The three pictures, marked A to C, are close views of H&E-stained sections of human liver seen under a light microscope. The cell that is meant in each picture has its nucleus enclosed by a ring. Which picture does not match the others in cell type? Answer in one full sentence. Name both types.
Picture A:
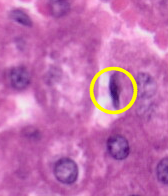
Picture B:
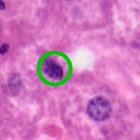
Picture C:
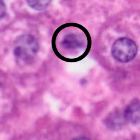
Picture B differs, because its cell is a “fibroblast or stellate cell” and the rest are endothelial cells.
